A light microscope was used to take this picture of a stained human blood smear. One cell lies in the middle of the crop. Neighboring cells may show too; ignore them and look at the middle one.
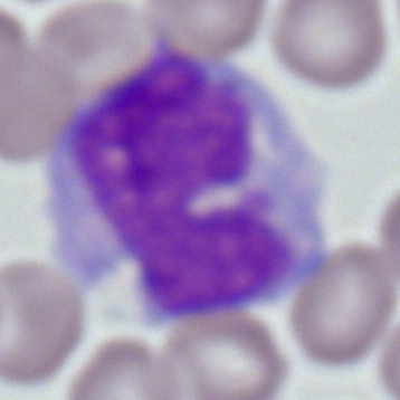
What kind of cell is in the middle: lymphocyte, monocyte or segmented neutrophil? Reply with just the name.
monocyte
